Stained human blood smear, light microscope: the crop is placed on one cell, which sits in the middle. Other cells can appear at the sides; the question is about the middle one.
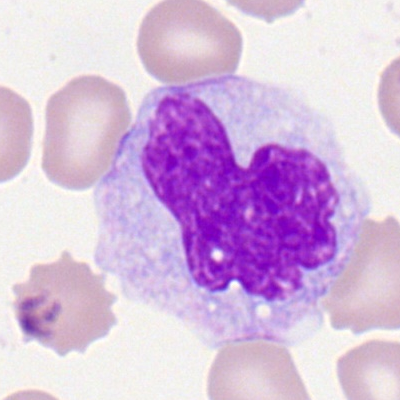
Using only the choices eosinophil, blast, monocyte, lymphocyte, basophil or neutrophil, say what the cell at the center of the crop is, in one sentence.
What the crop centres on is a monocyte.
